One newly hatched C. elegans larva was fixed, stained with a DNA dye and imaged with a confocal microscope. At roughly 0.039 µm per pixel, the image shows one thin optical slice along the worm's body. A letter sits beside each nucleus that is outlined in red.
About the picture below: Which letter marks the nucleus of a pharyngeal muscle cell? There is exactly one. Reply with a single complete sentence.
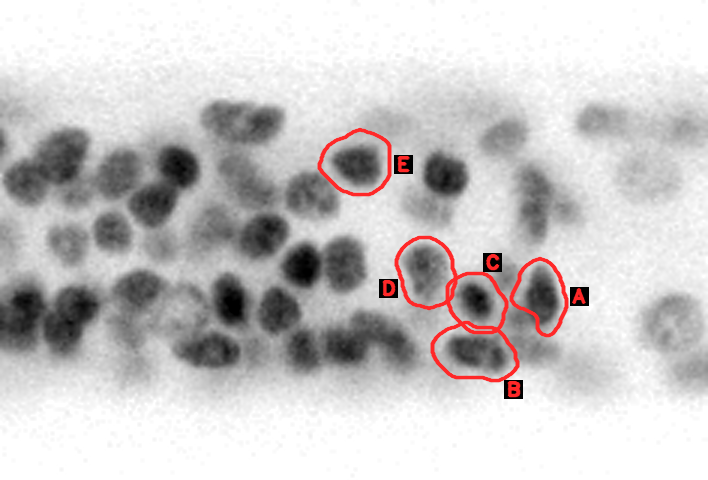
Nucleus D belongs to a pharyngeal muscle cell.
